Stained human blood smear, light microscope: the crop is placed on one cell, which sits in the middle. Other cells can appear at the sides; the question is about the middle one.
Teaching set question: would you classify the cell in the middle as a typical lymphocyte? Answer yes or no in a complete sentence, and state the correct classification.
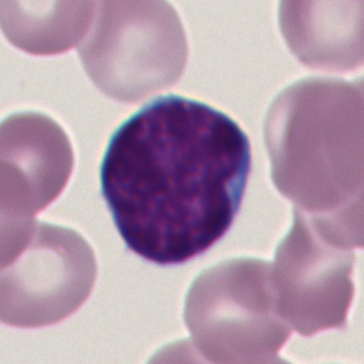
Yes, the cell at the middle of the field is to be classed as a typical lymphocyte.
